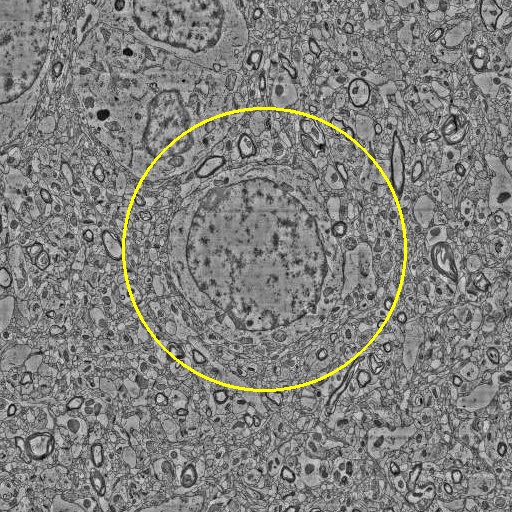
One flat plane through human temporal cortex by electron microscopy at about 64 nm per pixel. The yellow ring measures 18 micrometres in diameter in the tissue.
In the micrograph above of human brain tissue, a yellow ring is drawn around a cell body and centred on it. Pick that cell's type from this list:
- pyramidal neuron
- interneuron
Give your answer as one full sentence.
Going by the list, a pyramidal neuron is the cell on which the yellow ring is centred.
